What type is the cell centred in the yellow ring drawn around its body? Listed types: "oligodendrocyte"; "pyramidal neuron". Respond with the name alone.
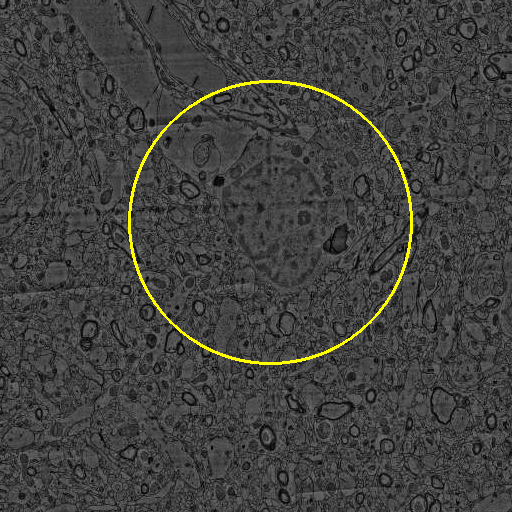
oligodendrocyte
